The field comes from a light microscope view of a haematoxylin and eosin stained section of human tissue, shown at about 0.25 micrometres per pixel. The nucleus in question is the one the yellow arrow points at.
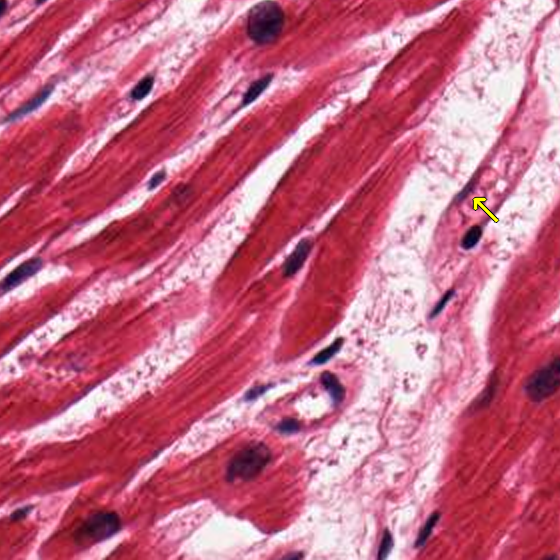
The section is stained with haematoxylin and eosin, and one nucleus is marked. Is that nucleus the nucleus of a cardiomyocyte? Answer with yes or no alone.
no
